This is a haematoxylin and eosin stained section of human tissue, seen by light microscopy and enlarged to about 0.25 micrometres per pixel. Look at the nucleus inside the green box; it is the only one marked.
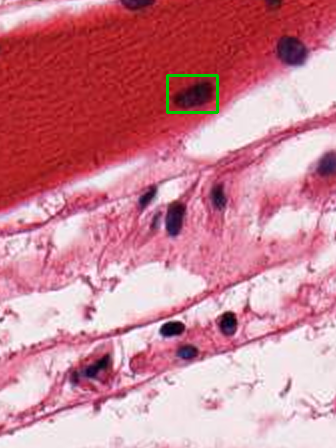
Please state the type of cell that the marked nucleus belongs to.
skeletal muscle fibre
